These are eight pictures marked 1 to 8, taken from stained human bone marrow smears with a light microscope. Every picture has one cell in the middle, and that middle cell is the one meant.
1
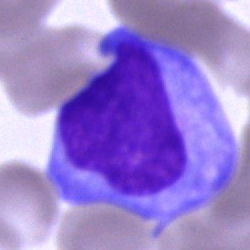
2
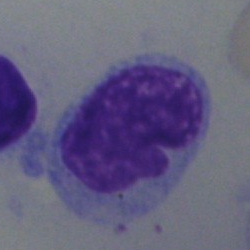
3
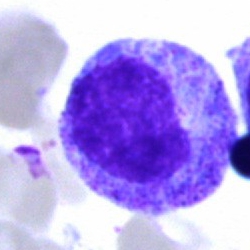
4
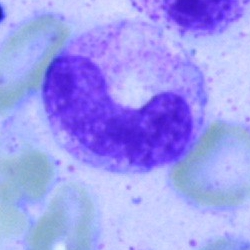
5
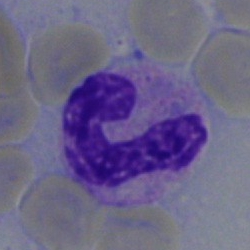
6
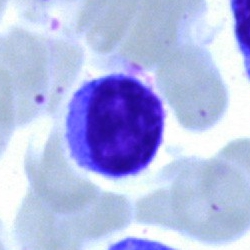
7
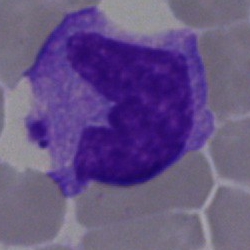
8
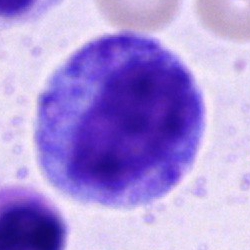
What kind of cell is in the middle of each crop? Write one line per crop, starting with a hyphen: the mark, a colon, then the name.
- 1: monocyte
- 2: monocyte
- 3: promyelocyte
- 4: band neutrophil
- 5: band neutrophil
- 6: lymphocyte
- 7: monocyte
- 8: promyelocyte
